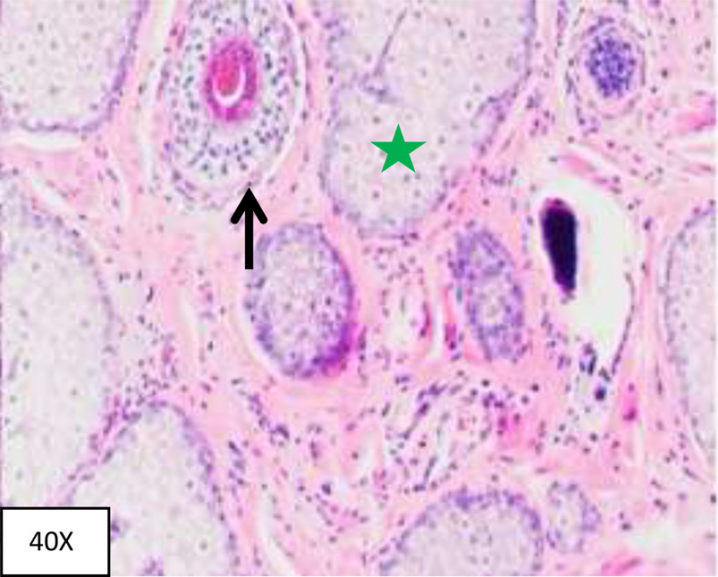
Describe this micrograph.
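Dermis of skin at high magnification, showing several hair follicles and lobules of sebaceous gland cut in cross-section within pink connective tissue. The sebaceous lobules are rounded clusters of large pale cells whose cytoplasm looks foamy and vacuolated, with small central nuclei; a thin rim of smaller, darker cells lines the edge of some lobules. A hair follicle appears as a round structure built of concentric layers of small cells with purple nuclei, enclosing a bright pink ring at its centre. Elsewhere a dark purple hair shaft lies in a clear space. Scattered spindle-shaped nuclei dot the pink stroma between the structures.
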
